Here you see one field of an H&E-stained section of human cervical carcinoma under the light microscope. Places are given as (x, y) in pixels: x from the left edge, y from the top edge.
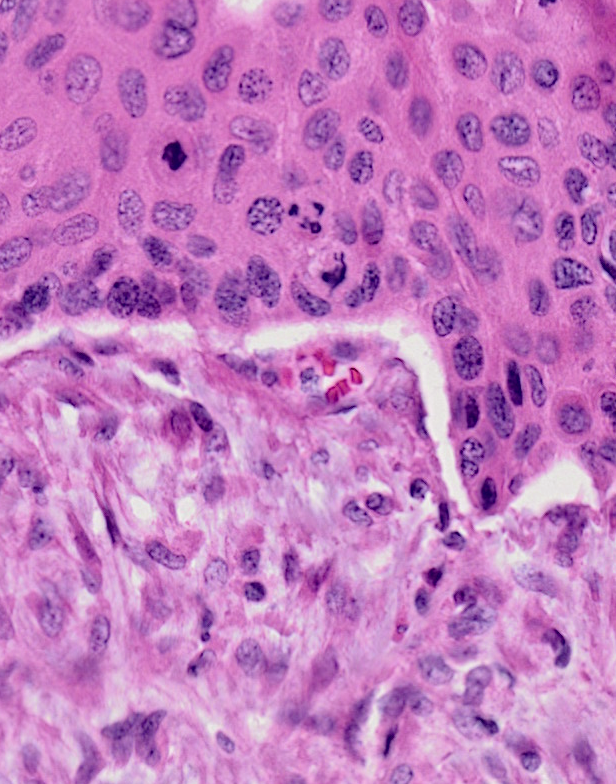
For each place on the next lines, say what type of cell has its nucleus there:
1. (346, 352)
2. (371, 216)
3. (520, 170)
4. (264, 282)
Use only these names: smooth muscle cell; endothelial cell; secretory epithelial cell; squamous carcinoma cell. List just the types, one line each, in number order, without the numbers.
endothelial cell
squamous carcinoma cell
squamous carcinoma cell
squamous carcinoma cell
